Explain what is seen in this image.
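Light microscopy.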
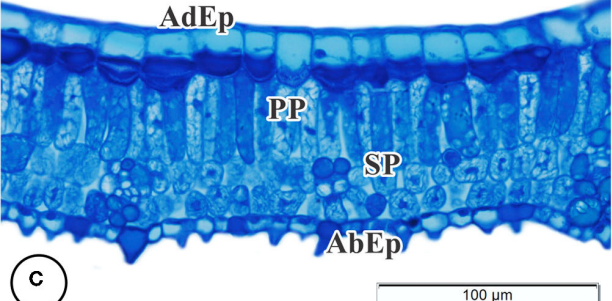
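A leaf blade in cross-section, with upper epidermis, palisade parenchyma, spongy parenchyma and lower epidermis stained in shades of blue. The upper epidermis is a single row of rectangular, pale cells under a blue-stained outer wall, with dark blue deposits along their inner faces. Beneath lies one layer of palisade parenchyma: tall, narrow columnar cells set close together, perpendicular to the surface, their walls lined with small granular chloroplasts. Below them the spongy parenchyma forms several layers of rounded, irregular cells with small air spaces between them. The lower epidermis is a thin row of small cells whose outer surface bears short pointed projections.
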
